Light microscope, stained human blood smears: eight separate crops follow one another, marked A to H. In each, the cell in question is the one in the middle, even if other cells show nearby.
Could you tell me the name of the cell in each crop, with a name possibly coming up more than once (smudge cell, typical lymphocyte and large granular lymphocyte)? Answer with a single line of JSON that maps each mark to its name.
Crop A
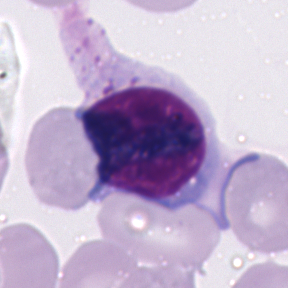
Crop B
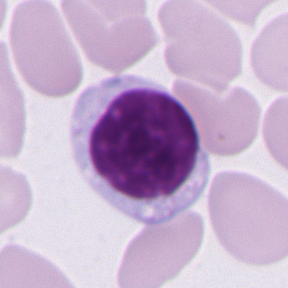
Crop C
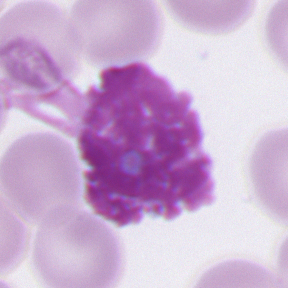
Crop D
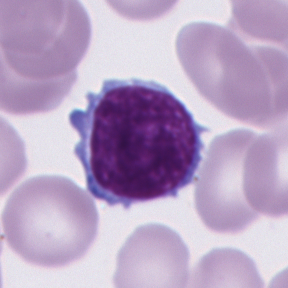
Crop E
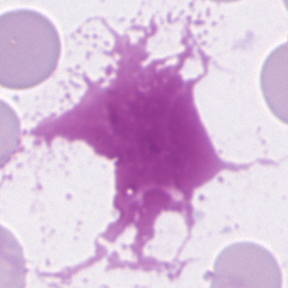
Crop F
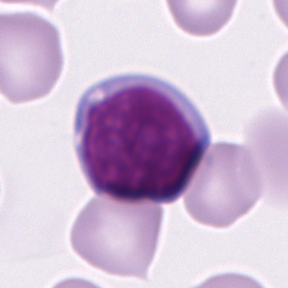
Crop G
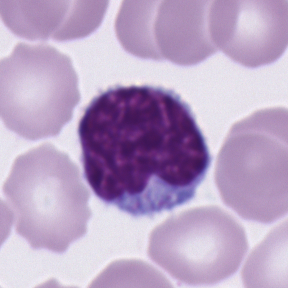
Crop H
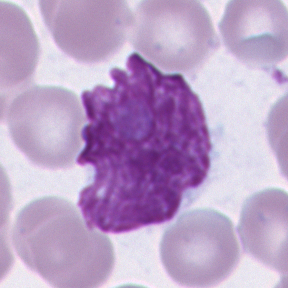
{"A": "large granular lymphocyte", "B": "typical lymphocyte", "C": "smudge cell", "D": "typical lymphocyte", "E": "smudge cell", "F": "typical lymphocyte", "G": "typical lymphocyte", "H": "smudge cell"}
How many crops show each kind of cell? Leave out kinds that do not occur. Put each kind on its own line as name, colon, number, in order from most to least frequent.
typical lymphocyte: 4
smudge cell: 3
large granular lymphocyte: 1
